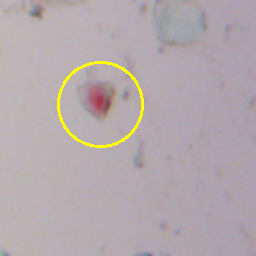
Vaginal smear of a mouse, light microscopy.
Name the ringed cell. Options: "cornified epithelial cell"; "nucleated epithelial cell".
nucleated epithelial cell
